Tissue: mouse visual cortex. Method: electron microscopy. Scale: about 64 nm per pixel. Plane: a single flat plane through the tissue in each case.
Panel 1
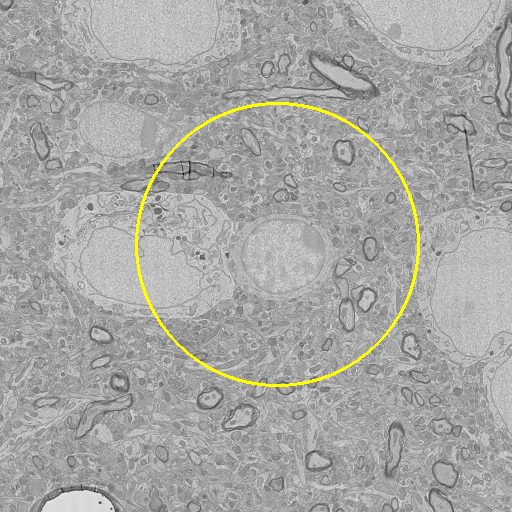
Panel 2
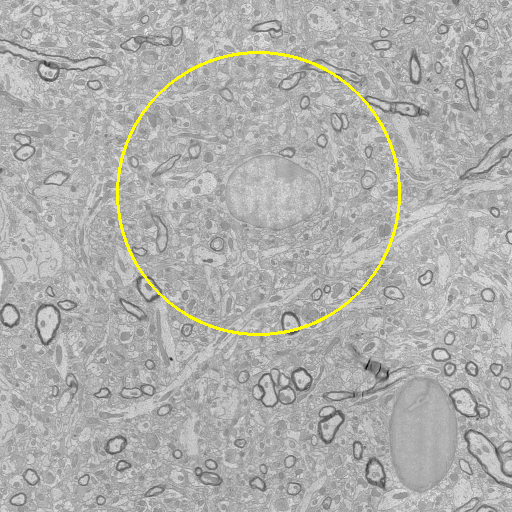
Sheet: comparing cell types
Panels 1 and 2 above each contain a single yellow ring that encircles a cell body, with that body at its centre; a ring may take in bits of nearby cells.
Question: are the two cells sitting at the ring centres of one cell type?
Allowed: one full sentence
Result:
Yes, the ring-centre cells in Panel 1 and Panel 2 are of one type.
